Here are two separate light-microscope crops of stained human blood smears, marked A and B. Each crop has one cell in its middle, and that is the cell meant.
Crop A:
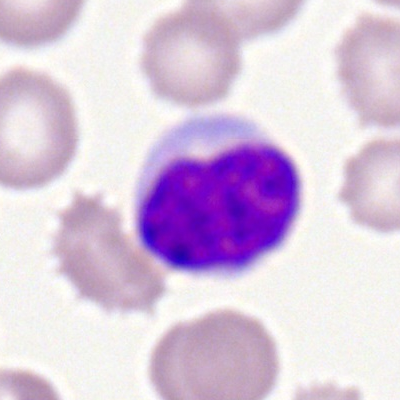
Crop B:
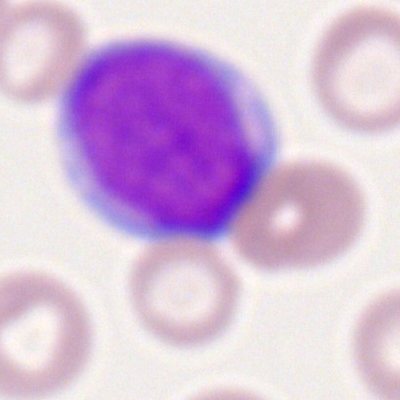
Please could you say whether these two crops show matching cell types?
no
